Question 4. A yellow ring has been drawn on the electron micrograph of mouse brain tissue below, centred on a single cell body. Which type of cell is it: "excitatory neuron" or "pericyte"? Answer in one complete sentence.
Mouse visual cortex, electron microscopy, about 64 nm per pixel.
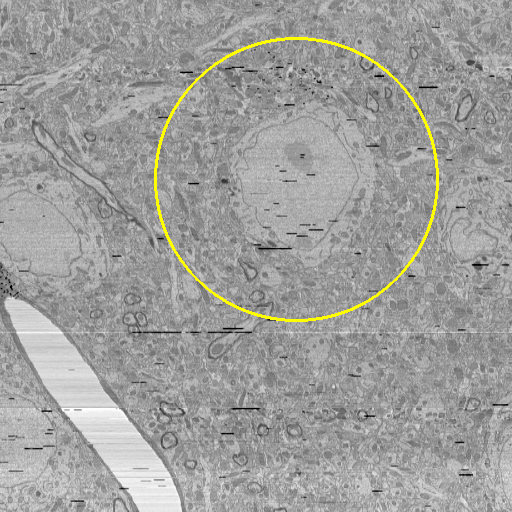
This cell body belongs to an excitatory neuron.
